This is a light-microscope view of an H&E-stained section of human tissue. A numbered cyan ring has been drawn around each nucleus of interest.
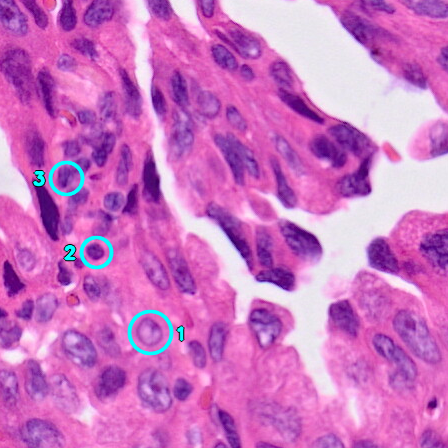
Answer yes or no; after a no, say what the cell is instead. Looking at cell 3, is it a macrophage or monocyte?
No, it is a lymphocyte.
